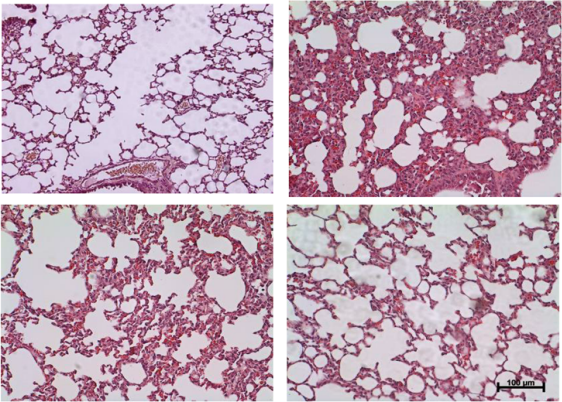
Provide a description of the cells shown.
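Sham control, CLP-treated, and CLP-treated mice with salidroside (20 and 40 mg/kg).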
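Four fields of lung parenchyma stained pink and purple show alveolar airspaces separated by septa. In the upper left field the alveolar walls are thin and delicate, the airspaces are wide and open, and a small vessel with red blood cells runs beside an airway wall. In the upper right field the septa are markedly thickened and crowded with purple nuclei, the tissue is densely pink, and the airspaces are reduced to scattered rounded spaces. The two lower fields look intermediate: the septa are thicker and more cellular than in the upper left field, but the airspaces stay larger and more open than in the upper right field. The lower right field has the thinnest walls and most open alveoli of the lower pair.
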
